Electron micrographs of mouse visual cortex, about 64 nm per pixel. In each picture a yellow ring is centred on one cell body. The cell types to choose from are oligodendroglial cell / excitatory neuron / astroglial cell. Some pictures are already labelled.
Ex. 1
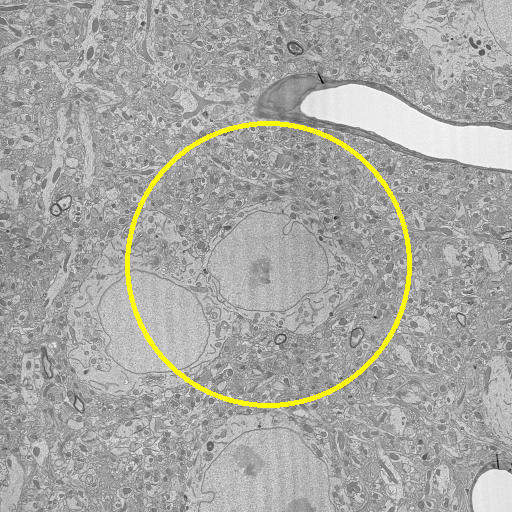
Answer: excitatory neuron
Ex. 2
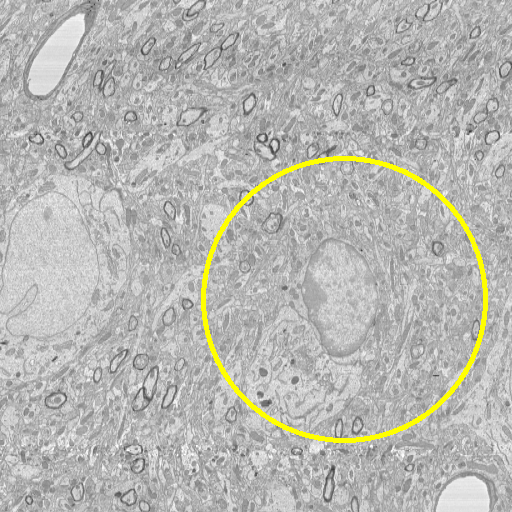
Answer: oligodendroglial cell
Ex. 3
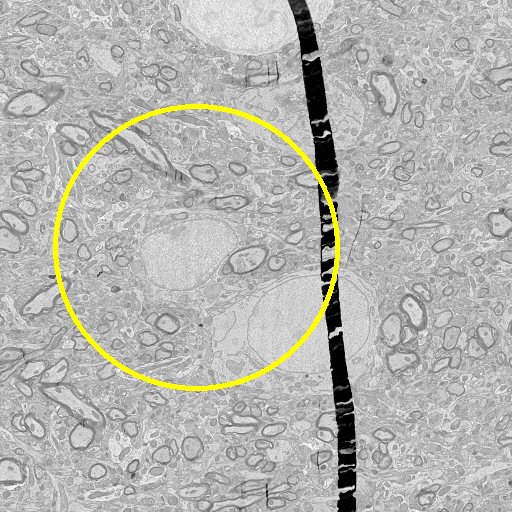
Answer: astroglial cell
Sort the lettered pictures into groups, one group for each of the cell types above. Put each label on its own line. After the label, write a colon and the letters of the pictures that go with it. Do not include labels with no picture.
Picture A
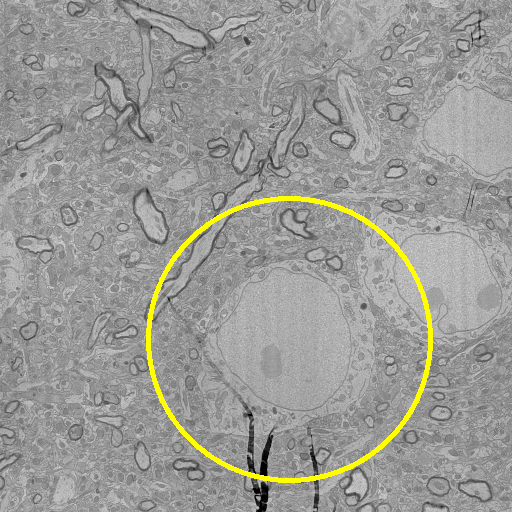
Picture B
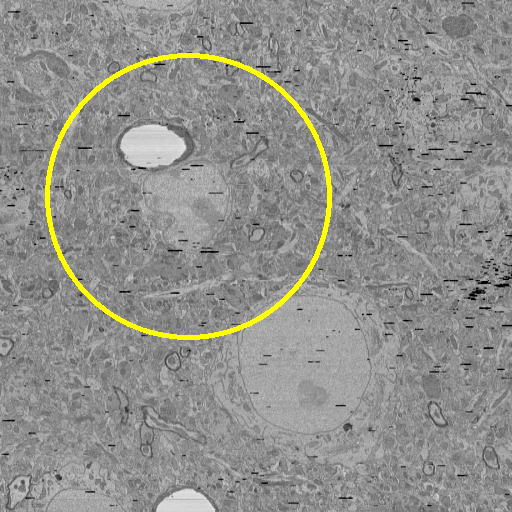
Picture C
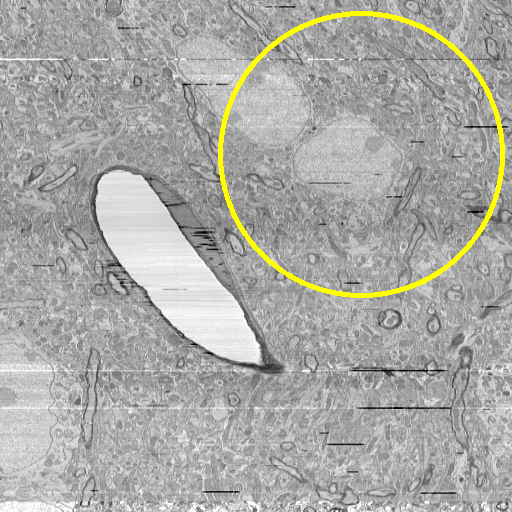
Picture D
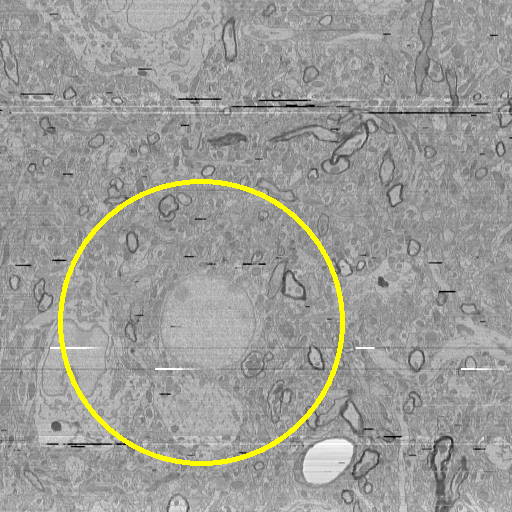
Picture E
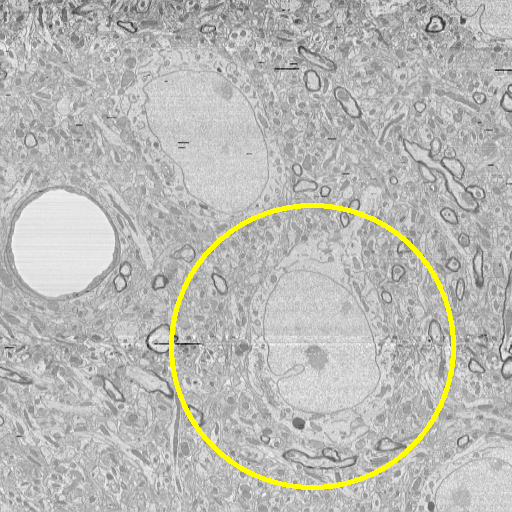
excitatory neuron: A, E
astroglial cell: B, C, D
